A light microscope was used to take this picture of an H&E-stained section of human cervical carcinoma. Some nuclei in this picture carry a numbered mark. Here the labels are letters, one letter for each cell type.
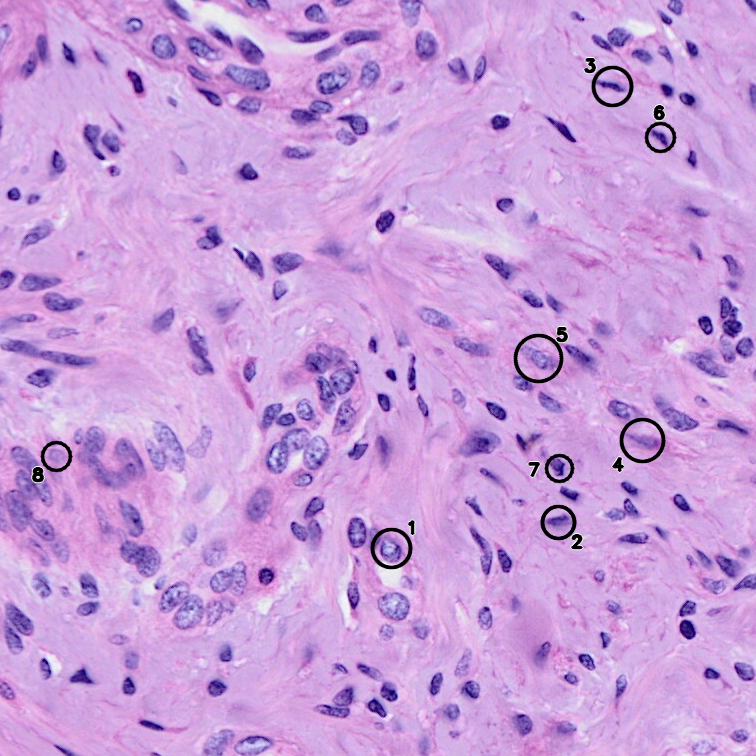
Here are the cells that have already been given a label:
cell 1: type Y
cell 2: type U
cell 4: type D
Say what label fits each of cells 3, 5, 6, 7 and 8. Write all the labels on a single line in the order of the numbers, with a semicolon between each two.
type U; type D; type U; type U; type D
